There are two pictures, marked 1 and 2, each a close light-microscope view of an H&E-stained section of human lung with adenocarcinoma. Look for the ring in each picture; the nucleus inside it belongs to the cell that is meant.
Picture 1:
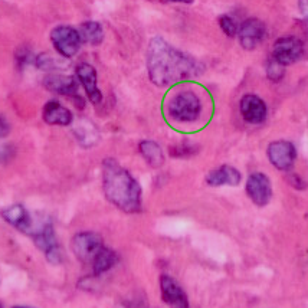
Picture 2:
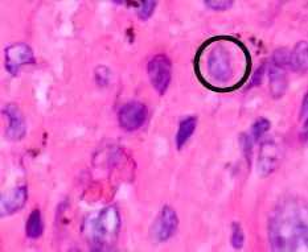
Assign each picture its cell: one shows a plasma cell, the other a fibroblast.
1: plasma cell
2: fibroblast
